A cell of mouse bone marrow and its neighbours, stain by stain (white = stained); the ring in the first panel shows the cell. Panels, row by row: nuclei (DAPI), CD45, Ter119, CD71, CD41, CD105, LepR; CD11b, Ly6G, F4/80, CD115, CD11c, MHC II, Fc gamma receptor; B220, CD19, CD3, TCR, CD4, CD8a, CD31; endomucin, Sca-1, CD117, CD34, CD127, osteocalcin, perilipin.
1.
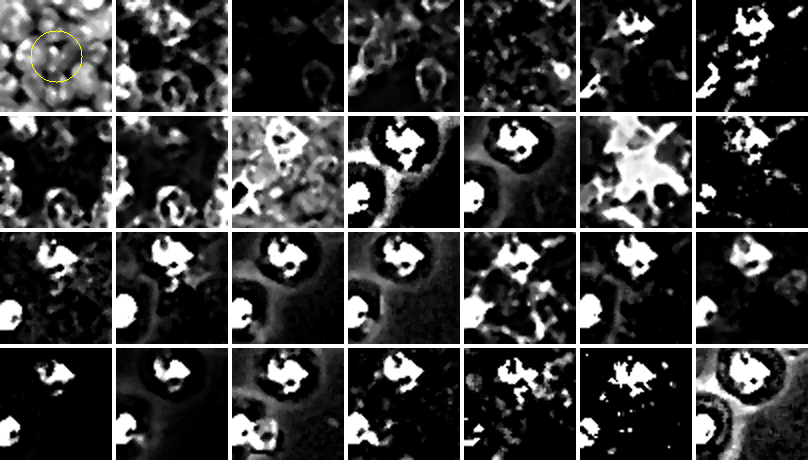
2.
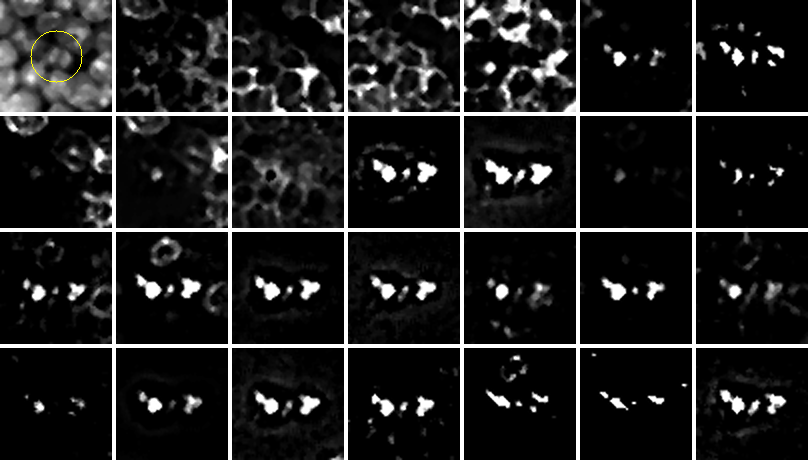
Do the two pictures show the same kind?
Yes, both are LepR-positive perivascular cells.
